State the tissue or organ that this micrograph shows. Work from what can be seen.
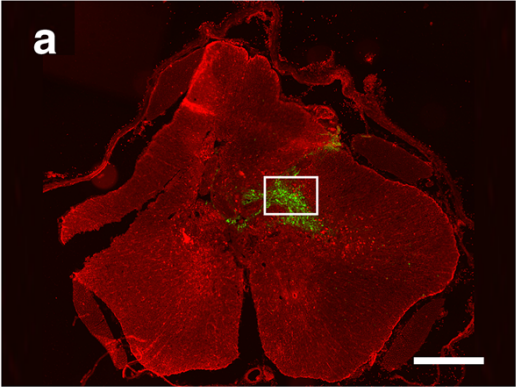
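A whole transverse section with paired rounded lobes separated by a midline fissure. The section is surrounded by a thin membranous covering. The answer: spinal cord.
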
